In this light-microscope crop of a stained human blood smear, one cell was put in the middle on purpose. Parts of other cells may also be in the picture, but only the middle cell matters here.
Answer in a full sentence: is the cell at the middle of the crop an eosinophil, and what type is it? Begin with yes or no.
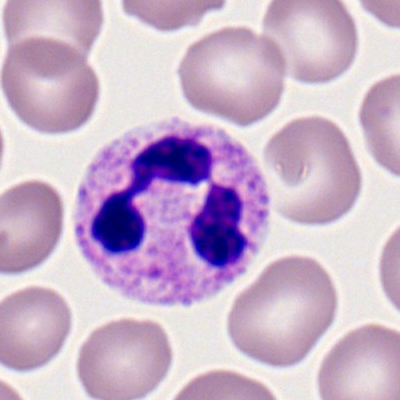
No, a segmented neutrophil rather than an eosinophil is the cell at the centre of the crop.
